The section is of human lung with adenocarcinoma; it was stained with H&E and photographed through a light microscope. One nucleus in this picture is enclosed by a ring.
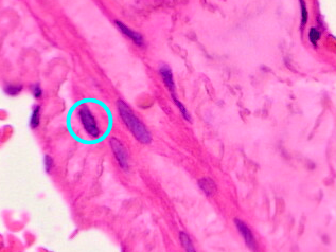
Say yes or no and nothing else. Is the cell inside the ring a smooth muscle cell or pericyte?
yes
